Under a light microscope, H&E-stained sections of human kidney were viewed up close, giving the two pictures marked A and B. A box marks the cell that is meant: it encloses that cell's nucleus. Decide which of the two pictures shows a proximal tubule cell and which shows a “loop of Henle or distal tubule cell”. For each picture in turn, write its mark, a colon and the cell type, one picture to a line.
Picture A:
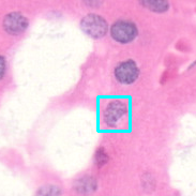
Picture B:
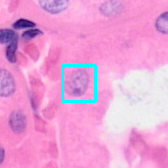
A: loop of Henle or distal tubule cell
B: proximal tubule cell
